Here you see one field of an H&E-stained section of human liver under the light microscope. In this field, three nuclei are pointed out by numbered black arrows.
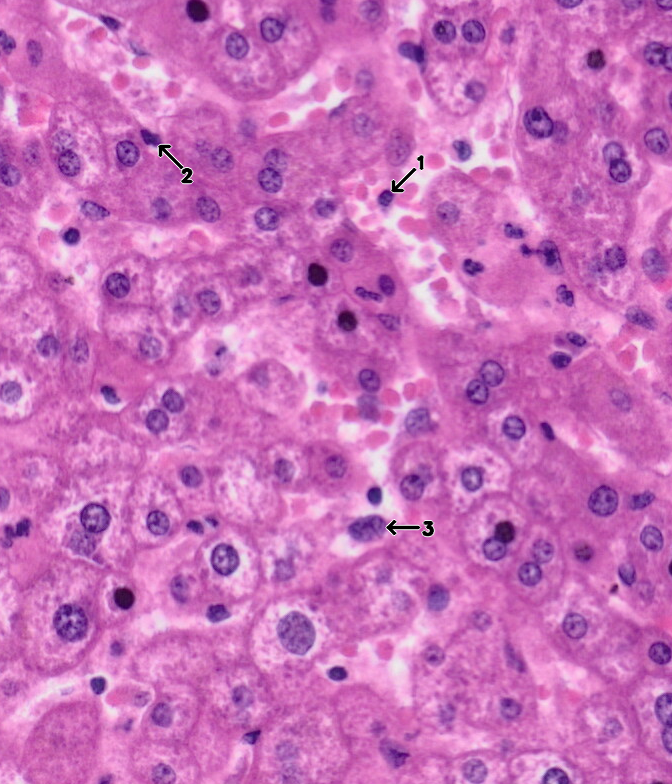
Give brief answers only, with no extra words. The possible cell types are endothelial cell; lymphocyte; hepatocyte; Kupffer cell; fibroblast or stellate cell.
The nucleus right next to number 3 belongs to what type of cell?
lymphocyte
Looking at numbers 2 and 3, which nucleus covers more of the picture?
3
